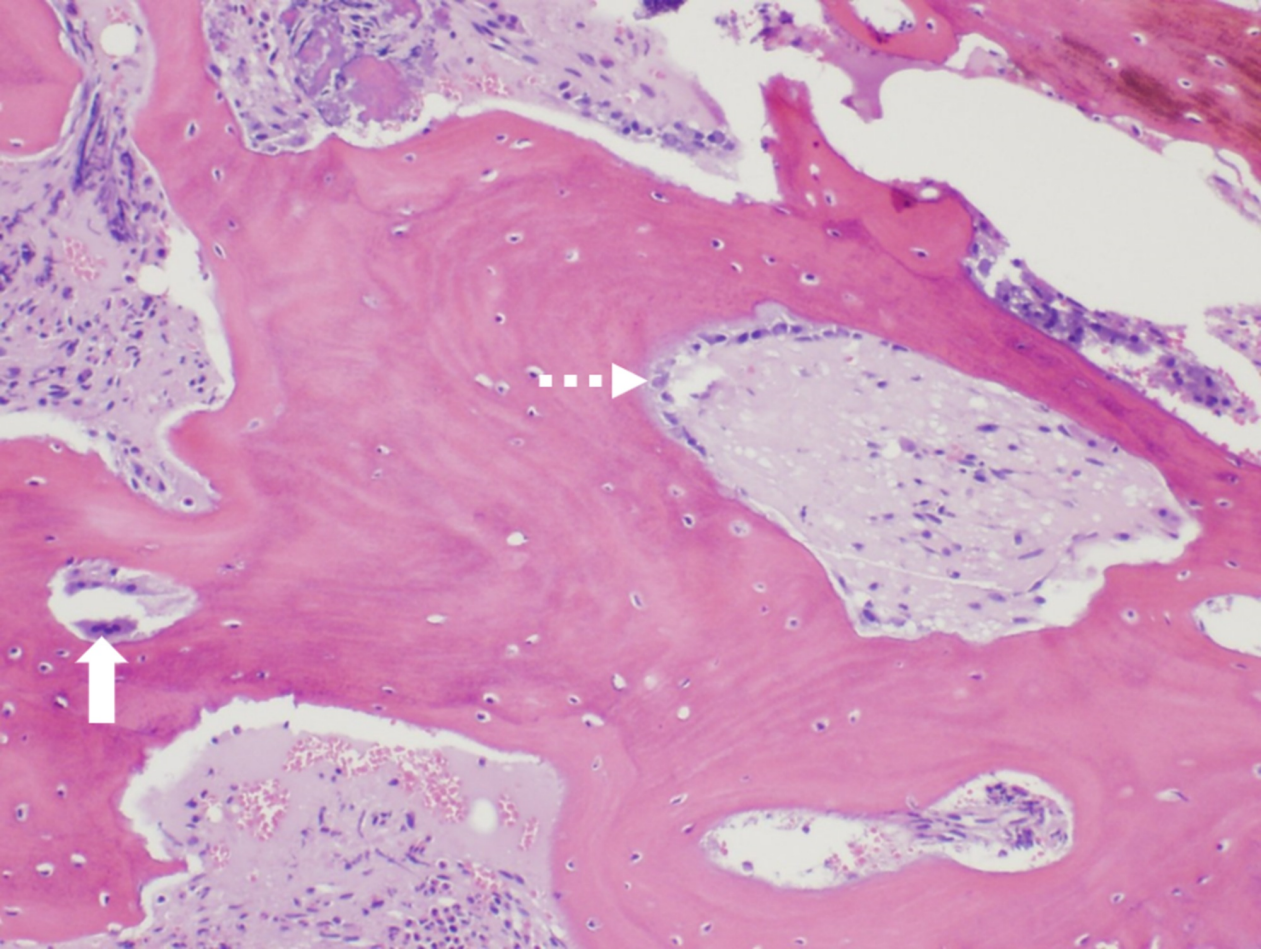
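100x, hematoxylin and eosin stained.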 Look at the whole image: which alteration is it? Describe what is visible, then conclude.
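Broad pink bone fills most of the field. Marrow spaces are small and widely separated by bone. The answer: robust and thickened bone.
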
